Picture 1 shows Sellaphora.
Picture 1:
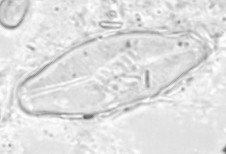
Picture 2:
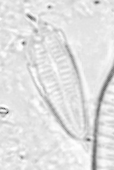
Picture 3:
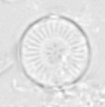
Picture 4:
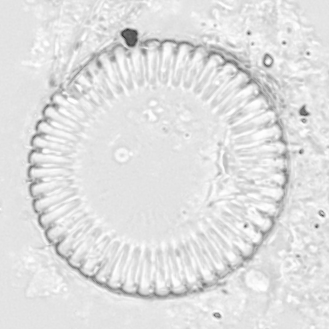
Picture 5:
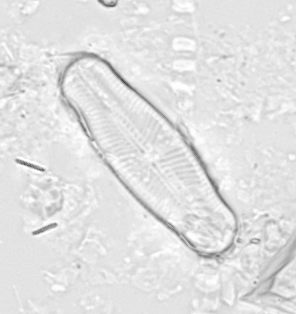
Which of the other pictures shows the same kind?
Picture 5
